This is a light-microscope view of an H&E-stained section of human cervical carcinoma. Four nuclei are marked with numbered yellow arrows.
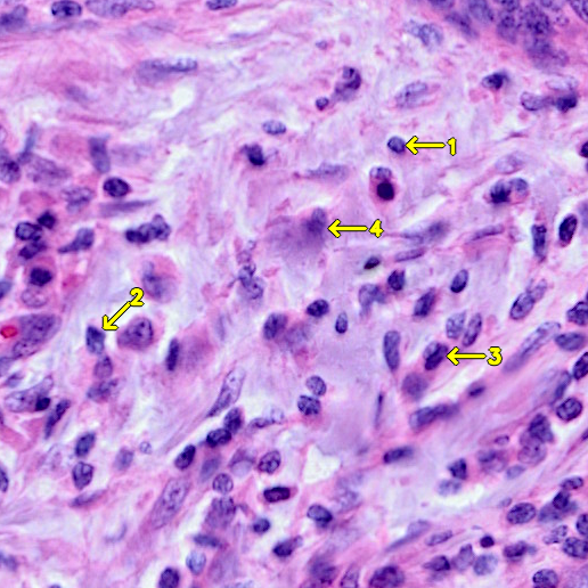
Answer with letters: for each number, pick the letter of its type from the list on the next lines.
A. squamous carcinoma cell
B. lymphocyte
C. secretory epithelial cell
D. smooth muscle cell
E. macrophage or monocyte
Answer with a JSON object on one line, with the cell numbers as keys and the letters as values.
{"1": "B", "2": "B", "3": "B", "4": "E"}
